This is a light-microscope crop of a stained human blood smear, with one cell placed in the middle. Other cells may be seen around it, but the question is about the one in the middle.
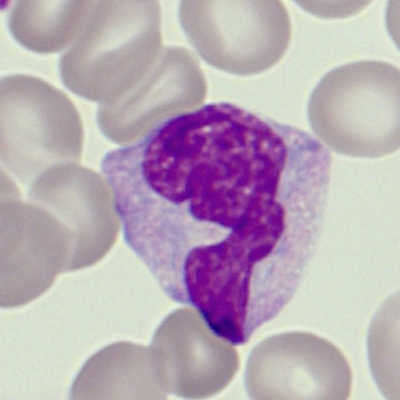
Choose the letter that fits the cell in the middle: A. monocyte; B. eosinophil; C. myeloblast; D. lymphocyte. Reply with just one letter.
A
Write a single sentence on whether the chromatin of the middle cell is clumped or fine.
No coarse chromatin clumps are present; the pattern is fine.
